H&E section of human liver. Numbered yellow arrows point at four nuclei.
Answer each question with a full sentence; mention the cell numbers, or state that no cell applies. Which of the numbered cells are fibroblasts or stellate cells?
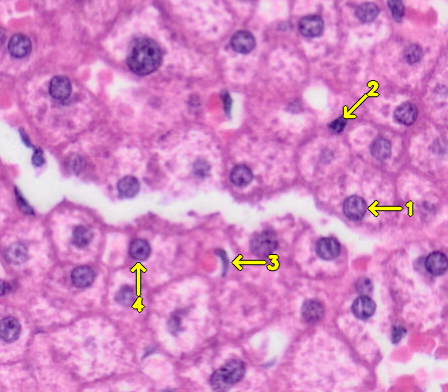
Just one of the numbered cells is a fibroblast or stellate cell, namely number 2.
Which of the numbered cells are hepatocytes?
The cells carrying the numbers 1 and 4 are hepatocytes.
